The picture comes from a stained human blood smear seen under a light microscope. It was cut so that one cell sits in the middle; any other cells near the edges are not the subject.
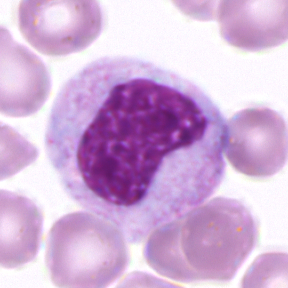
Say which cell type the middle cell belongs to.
metamyelocyte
